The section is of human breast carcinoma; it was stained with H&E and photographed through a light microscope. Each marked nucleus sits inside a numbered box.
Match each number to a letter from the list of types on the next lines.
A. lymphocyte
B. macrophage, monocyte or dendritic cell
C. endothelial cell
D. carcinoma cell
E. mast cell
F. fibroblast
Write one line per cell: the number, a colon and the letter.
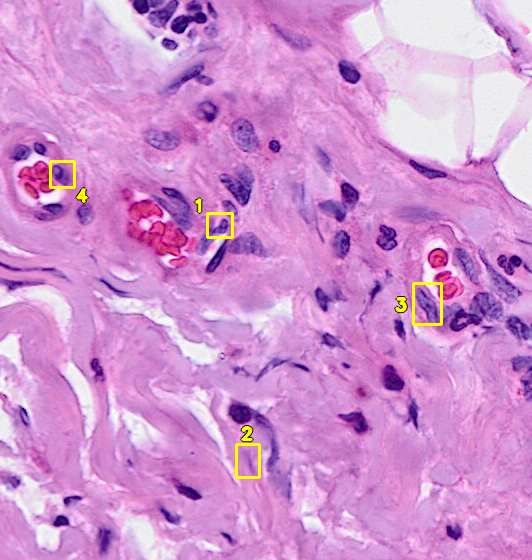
1: C
2: F
3: C
4: C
